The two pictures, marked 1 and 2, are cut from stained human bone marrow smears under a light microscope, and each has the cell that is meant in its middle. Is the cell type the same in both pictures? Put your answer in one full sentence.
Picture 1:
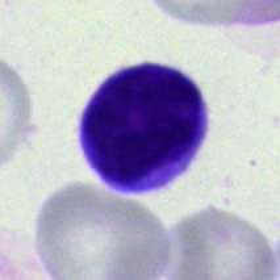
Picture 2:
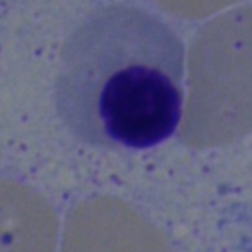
No, the types are not the same, since picture 1 shows a lymphocyte and picture 2 an erythroblast.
